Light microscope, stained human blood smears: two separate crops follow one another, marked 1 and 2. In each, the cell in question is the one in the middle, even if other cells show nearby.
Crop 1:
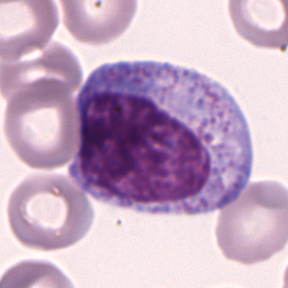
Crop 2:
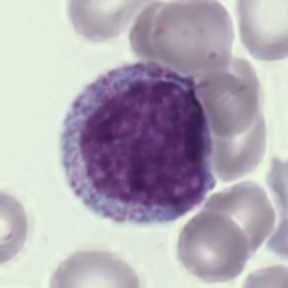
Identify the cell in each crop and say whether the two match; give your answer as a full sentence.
Yes, both crops show promyelocytes in their central position.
